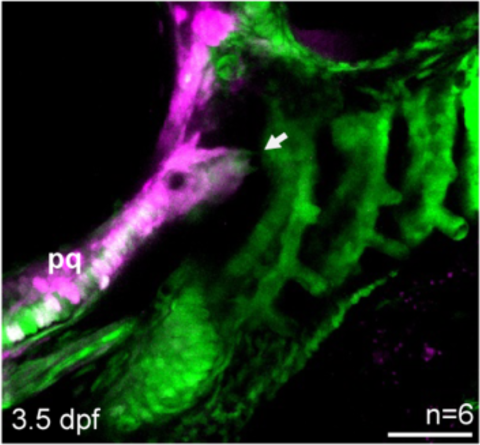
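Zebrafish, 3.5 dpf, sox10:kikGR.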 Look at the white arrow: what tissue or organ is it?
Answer: Pseudobranch mesenchyme.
